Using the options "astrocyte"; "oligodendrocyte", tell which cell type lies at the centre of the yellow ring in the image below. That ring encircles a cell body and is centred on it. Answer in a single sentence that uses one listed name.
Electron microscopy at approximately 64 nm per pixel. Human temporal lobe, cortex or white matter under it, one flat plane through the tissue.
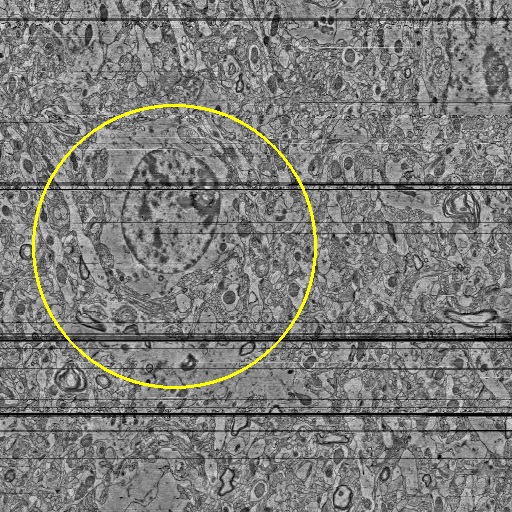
At the centre of the yellow ring lies the body of an astrocyte.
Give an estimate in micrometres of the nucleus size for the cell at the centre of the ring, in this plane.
In this plane, the nucleus of the cell at the centre of the ring measures about 8 by 6 micrometres.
